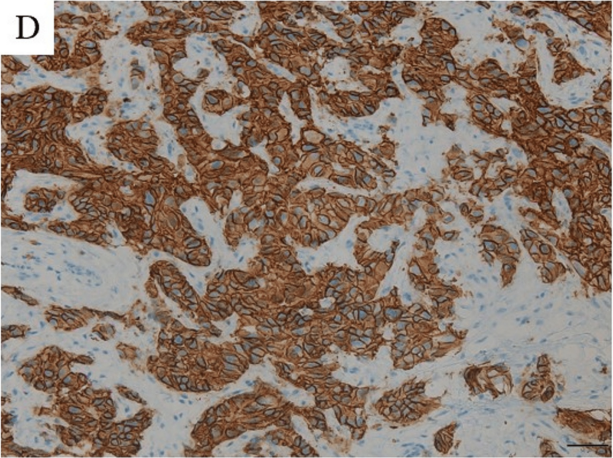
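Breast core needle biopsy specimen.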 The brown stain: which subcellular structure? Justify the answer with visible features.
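Membrane. Brown stain outlines each tumour cell in a ring. The nuclei inside the rings are pale blue and unstained. The stroma between the cell groups is unstained.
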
